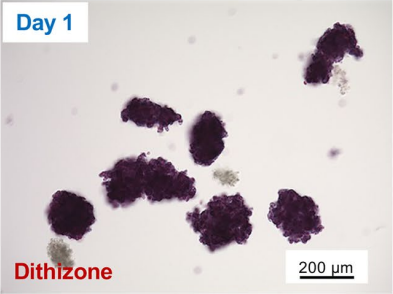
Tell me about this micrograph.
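Isolated pancreatic islets lie free as separate compact clusters of cells, each a few hundred micrometres or less across. They are rounded to irregular in outline with a slightly ragged, granular surface. The whole of each cluster takes up the stain intensely, appearing deep purple-red, while a few small pale fragments of unstained material lie between them.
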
